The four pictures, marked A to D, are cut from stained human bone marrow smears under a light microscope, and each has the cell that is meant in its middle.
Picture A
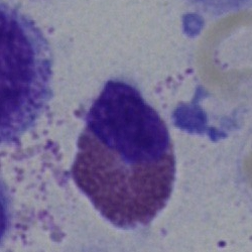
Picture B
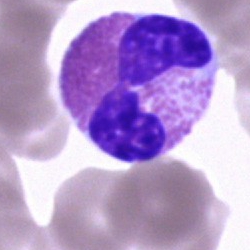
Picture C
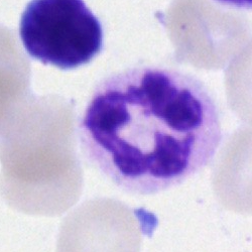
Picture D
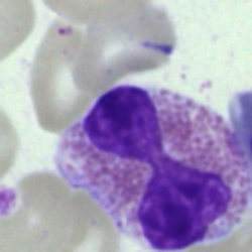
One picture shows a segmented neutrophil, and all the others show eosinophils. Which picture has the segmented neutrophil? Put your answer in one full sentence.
Picture C shows the segmented neutrophil.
